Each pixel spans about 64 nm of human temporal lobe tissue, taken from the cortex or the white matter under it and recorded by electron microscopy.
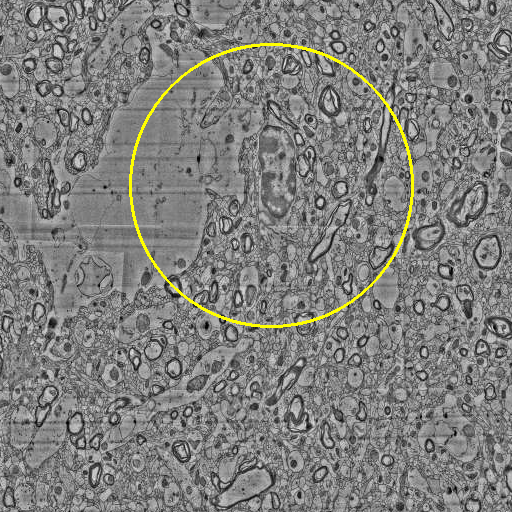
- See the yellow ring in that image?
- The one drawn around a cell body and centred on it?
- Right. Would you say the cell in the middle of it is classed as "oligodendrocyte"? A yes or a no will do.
no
